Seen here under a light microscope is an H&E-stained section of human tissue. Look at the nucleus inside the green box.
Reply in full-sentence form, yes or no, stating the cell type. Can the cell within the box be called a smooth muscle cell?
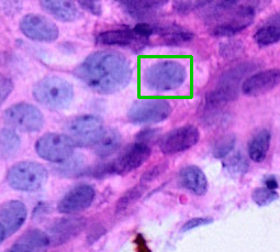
No, by cell type the cell within the box is a carcinoma cell, not a smooth muscle cell.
